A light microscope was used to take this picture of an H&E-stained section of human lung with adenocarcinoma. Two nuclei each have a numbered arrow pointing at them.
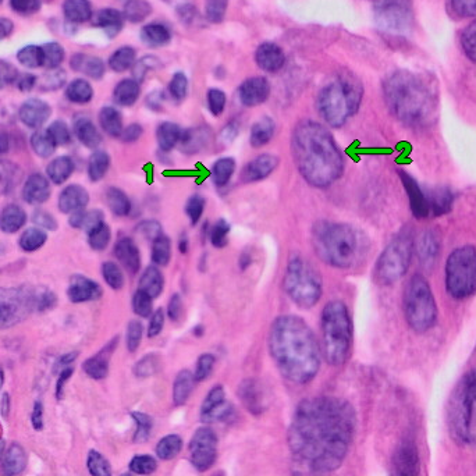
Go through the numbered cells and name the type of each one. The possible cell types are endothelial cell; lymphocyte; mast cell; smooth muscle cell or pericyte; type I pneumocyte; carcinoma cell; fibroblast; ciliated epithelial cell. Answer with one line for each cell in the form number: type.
1: lymphocyte
2: carcinoma cell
